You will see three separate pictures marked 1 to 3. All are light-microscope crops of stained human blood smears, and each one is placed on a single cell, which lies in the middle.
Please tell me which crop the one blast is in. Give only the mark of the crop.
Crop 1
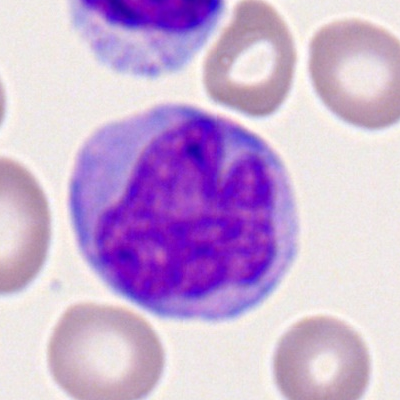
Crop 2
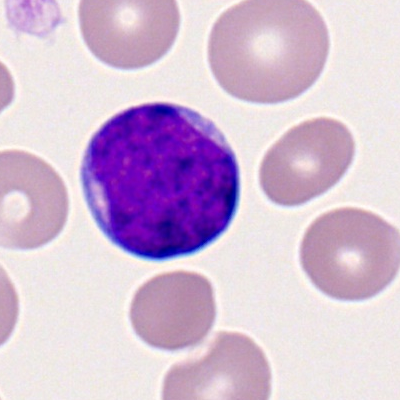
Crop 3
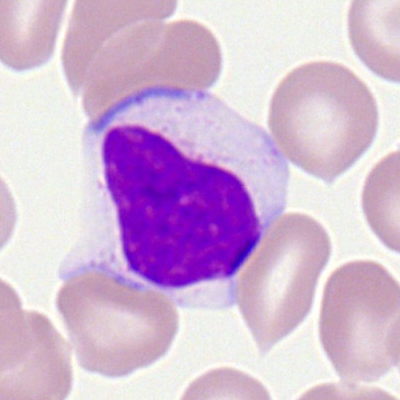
2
